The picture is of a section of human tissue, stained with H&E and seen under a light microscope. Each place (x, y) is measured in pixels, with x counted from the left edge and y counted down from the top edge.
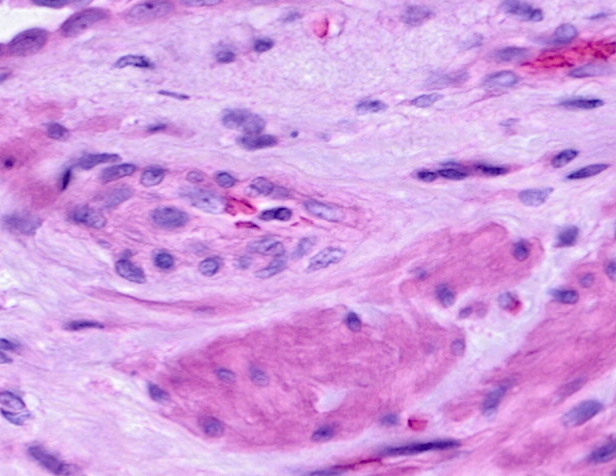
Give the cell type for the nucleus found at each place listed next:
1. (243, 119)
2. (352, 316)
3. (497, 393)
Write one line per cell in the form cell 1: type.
cell 1: fibroblast
cell 2: smooth muscle cell
cell 3: smooth muscle cell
